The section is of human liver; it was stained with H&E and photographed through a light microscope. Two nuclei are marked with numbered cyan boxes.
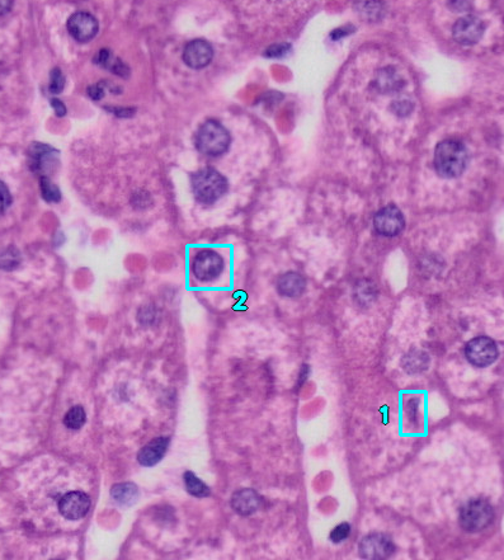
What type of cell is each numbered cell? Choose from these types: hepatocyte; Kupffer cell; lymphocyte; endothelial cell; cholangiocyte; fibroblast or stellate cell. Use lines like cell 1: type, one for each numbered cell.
cell 1: endothelial cell
cell 2: hepatocyte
